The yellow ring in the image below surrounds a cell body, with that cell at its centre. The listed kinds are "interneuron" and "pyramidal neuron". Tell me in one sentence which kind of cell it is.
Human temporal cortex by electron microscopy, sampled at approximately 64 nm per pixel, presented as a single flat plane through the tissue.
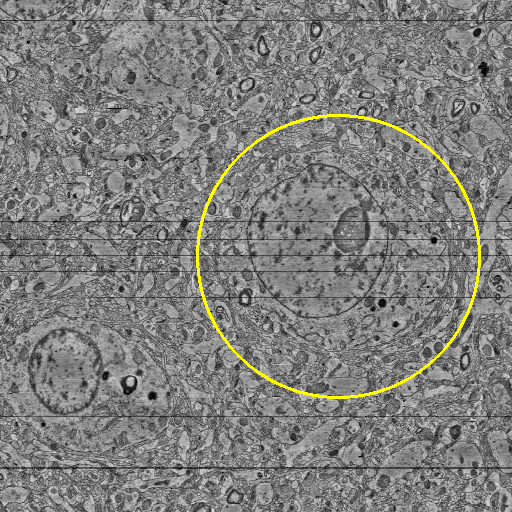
The centre of the ring holds a pyramidal neuron.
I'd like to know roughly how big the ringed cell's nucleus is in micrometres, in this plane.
The nucleus of the ringed cell is approximately 10 micrometres across in this plane.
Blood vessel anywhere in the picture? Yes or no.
No.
